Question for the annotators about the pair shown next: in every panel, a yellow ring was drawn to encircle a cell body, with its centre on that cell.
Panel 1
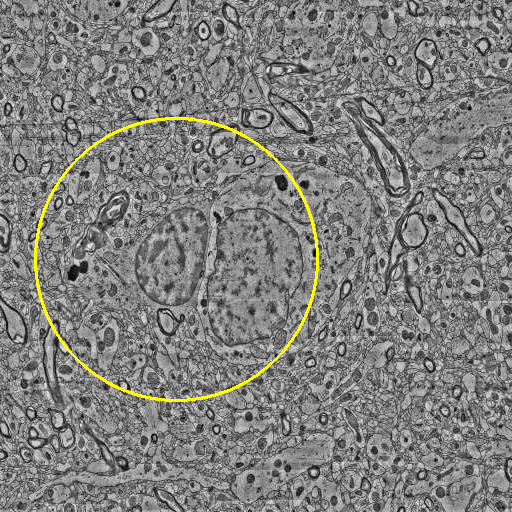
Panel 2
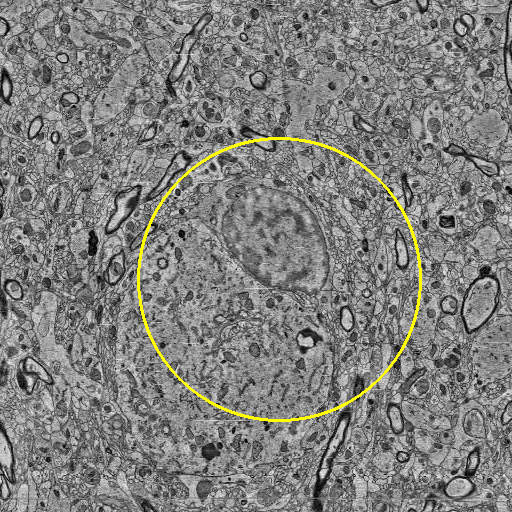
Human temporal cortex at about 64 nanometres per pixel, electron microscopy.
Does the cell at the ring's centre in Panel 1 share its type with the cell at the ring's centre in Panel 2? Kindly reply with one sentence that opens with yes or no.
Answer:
Yes, in Panels 1 and 2 the cells at the ring centres belong to a single type.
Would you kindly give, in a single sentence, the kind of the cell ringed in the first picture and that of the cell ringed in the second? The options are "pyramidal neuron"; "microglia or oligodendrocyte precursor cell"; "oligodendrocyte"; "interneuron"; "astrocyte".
Both cells are the same kind, each one being an oligodendrocyte.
